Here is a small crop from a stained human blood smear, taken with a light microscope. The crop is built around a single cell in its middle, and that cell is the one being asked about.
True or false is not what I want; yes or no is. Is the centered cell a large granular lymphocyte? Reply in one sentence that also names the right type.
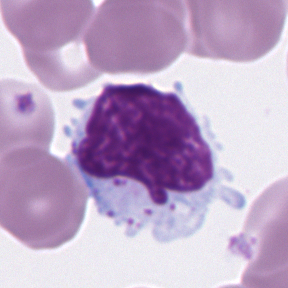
Yes, the middle cell in this crop is a large granular lymphocyte.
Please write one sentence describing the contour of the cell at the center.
Irregular rather than smooth, the cell margin shows ragged areas or projections.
